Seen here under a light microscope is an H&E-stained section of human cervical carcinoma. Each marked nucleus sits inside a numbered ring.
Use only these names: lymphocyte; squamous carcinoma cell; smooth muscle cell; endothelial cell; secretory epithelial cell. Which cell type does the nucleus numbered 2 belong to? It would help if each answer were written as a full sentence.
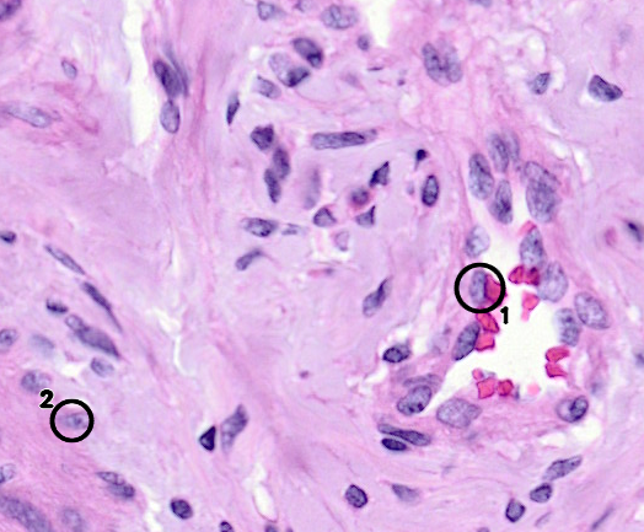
The cell referenced by the number 2 is a smooth muscle cell in this field.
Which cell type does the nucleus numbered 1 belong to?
Cell 1 in the field is an endothelial cell.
